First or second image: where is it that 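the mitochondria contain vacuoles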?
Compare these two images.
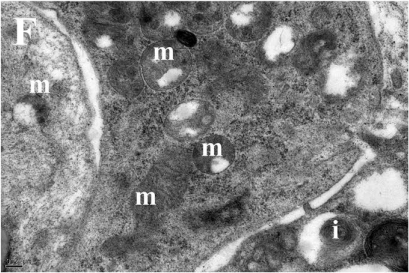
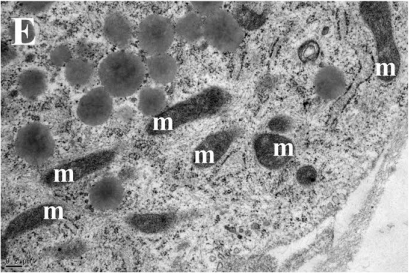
The first image.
